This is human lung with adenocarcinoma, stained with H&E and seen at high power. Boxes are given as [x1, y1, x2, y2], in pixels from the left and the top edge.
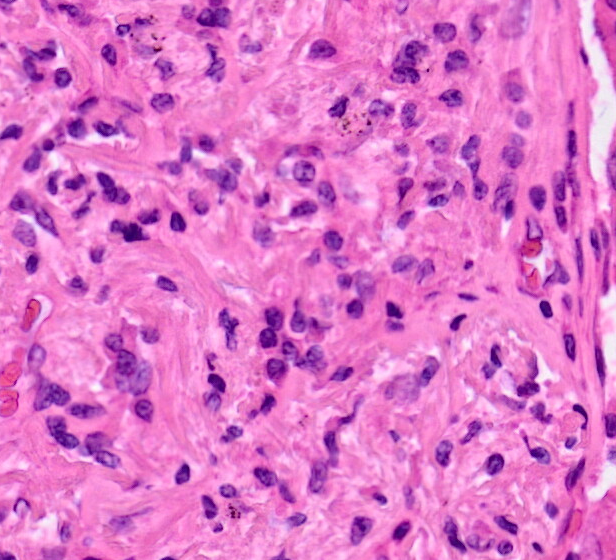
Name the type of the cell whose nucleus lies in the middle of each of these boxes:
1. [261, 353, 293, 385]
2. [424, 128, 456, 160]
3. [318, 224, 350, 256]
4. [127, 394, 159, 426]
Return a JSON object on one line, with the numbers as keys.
{"1": "plasma cell", "2": "plasma cell", "3": "mast cell", "4": "plasma cell"}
